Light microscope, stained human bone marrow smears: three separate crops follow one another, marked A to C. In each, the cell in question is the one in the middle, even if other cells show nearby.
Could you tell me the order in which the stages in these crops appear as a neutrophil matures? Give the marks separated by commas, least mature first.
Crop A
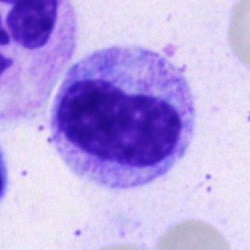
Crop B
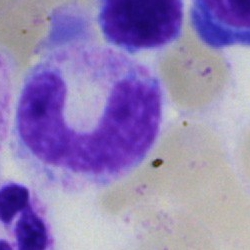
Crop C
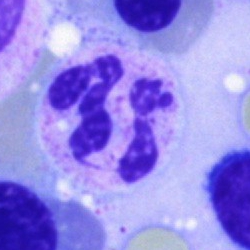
A, B, C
